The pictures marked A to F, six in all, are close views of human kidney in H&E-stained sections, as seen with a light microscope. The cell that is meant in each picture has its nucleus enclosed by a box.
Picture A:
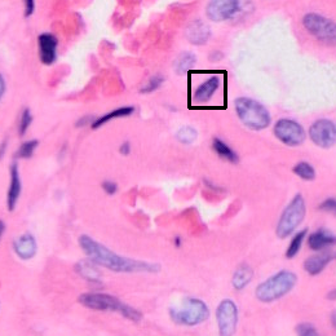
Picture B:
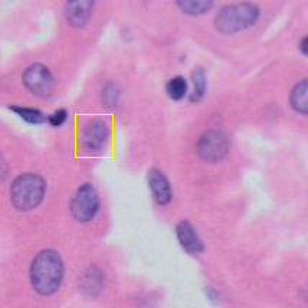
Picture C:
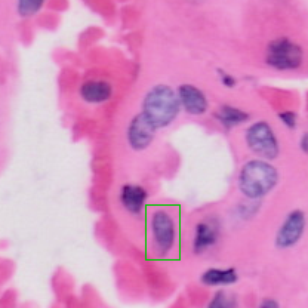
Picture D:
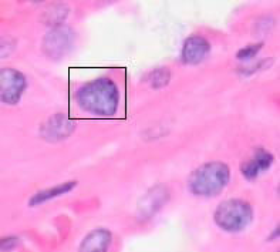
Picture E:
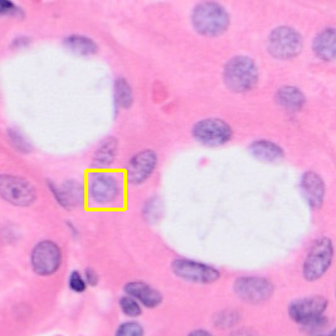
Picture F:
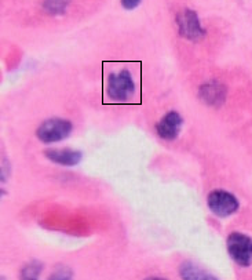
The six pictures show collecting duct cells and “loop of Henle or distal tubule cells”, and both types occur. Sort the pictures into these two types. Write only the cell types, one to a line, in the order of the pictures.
collecting duct cell
loop of Henle or distal tubule cell
collecting duct cell
loop of Henle or distal tubule cell
collecting duct cell
loop of Henle or distal tubule cell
